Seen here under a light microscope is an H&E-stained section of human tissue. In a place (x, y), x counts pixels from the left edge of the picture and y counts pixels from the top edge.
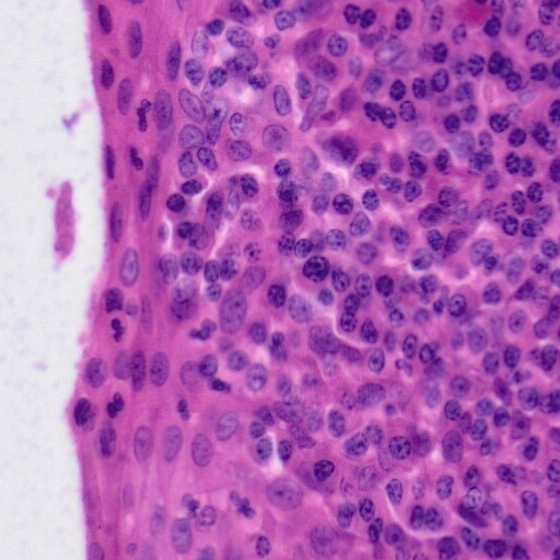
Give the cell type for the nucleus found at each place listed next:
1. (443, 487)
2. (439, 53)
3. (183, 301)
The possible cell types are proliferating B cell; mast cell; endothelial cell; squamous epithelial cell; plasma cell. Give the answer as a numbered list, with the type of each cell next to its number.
1. plasma cell
2. plasma cell
3. squamous epithelial cell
